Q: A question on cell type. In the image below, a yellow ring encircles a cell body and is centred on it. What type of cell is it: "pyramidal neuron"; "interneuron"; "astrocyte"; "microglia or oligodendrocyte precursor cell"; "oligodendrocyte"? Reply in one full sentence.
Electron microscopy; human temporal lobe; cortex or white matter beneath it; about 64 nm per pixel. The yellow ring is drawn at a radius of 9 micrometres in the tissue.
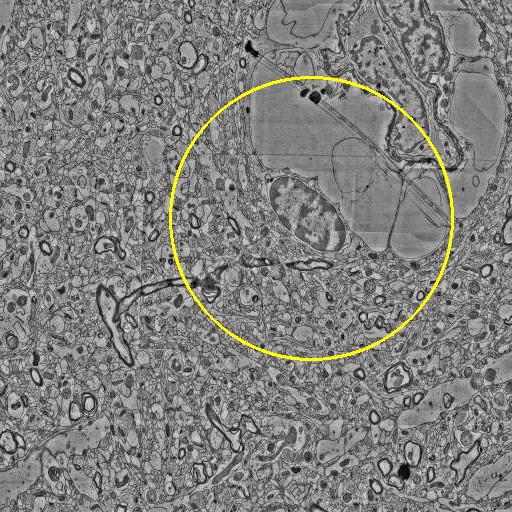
It is a microglial cell or oligodendrocyte precursor cell whose cell body sits at the centre of the yellow ring in the image.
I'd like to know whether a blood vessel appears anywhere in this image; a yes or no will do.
Yes, a vessel shows somewhere in the image.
